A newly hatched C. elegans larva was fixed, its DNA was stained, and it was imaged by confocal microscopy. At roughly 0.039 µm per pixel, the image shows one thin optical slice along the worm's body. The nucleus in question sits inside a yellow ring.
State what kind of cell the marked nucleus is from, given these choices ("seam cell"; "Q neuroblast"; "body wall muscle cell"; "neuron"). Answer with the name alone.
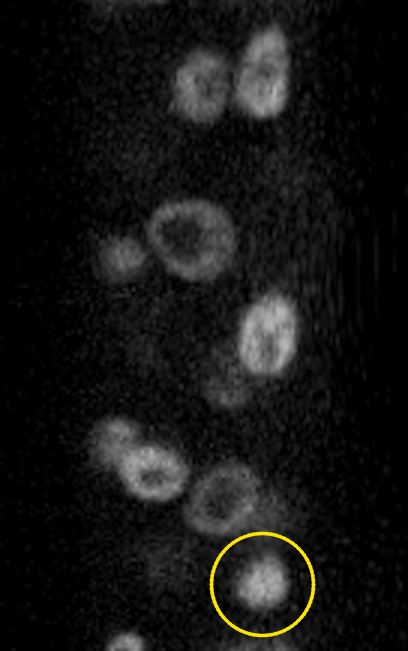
neuron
